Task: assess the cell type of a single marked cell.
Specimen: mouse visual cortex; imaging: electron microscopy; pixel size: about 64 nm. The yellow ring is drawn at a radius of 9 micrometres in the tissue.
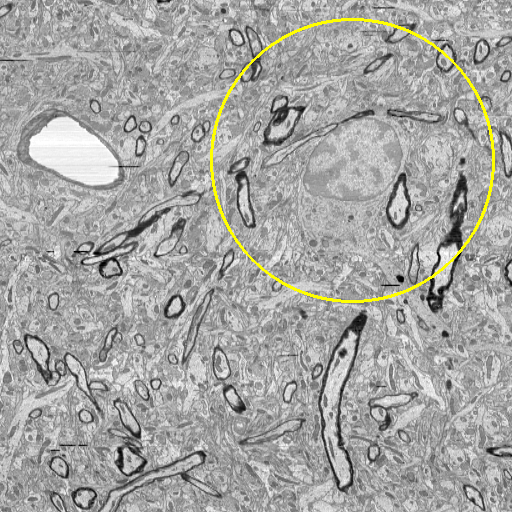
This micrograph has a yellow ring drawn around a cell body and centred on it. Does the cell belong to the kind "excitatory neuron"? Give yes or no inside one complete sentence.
No, the marked cell at the centre of the ring belongs to another kind.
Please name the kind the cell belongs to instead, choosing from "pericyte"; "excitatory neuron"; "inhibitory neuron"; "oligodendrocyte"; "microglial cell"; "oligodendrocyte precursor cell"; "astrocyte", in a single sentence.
The cell circled by the yellow ring is an oligodendrocyte.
